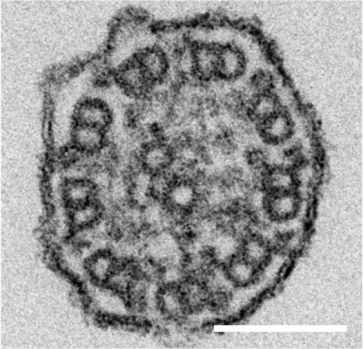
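A cross-section of a cilium shows the classic 9 + 2 axoneme: nine microtubule doublets arranged evenly in a ring beneath the ciliary membrane, around a central pair of single microtubules. Small arm-like projections extend from the doublets, and the central pair sits within a faint central sheath.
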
